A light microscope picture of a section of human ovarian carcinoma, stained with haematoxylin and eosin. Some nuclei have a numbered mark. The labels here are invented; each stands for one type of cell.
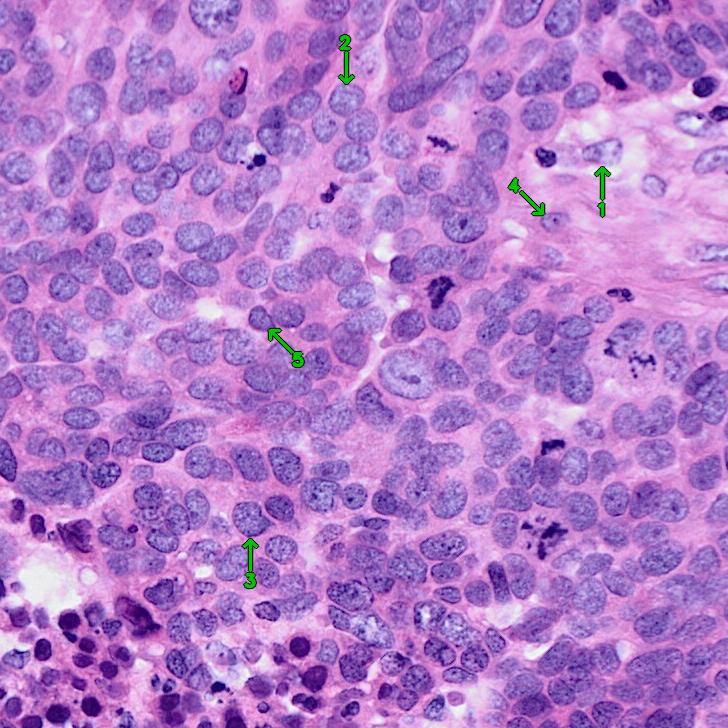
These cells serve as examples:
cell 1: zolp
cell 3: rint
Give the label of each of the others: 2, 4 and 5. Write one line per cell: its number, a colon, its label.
2: rint
4: zolp
5: rint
